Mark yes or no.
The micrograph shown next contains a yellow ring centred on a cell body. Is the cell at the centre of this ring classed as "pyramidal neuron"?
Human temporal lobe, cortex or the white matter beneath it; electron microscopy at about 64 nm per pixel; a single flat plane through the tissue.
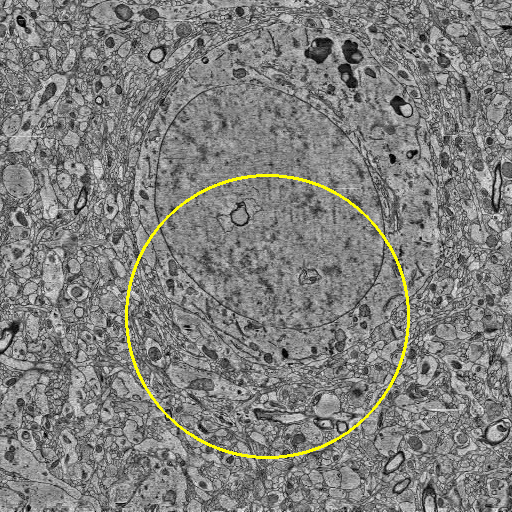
yes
